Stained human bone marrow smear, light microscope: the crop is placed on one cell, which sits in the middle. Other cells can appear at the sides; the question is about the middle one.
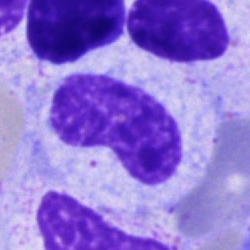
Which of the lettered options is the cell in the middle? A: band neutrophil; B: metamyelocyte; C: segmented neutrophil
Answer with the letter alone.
A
